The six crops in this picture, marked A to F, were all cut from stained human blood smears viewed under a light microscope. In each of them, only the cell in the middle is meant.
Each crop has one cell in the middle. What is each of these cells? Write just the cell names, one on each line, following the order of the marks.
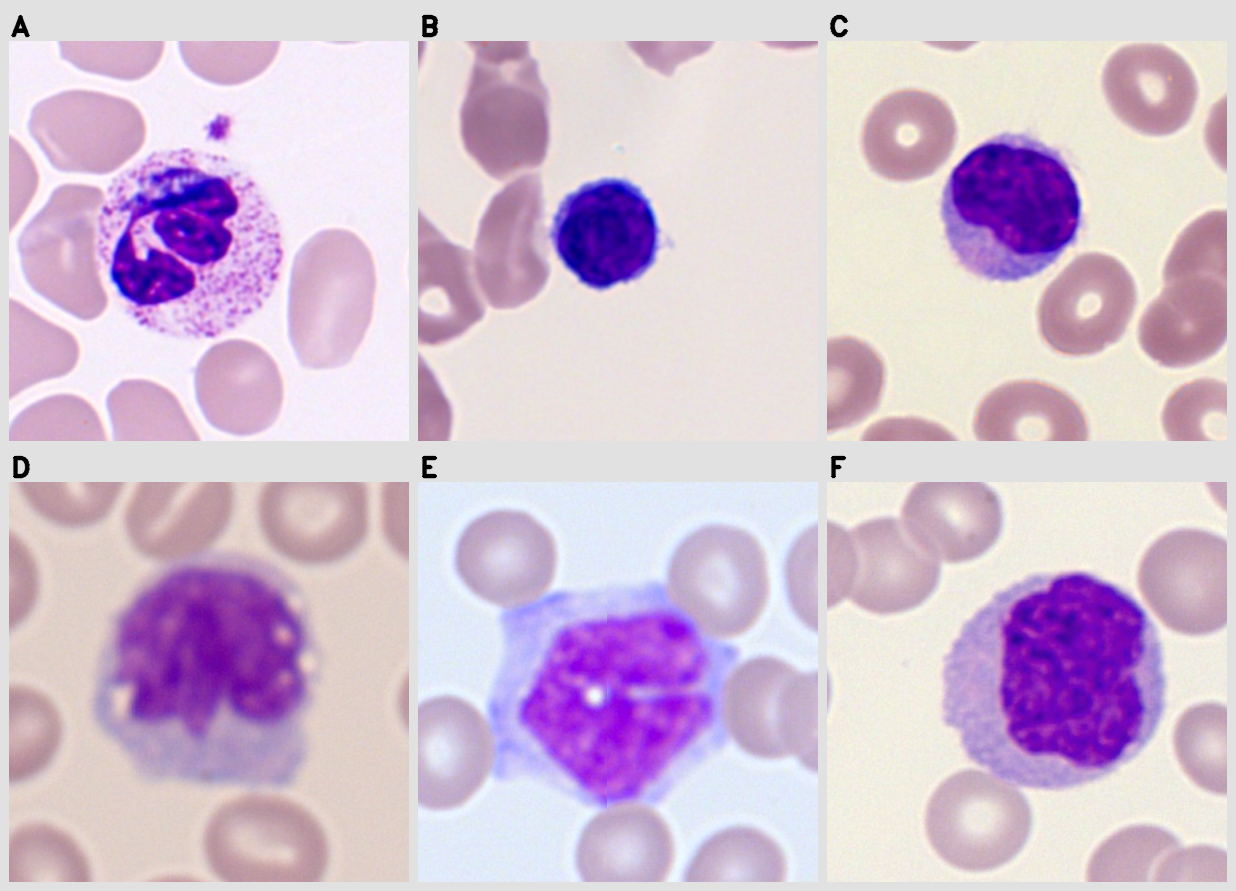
neutrophil
lymphocyte
lymphocyte
monocyte
monocyte
monocyte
